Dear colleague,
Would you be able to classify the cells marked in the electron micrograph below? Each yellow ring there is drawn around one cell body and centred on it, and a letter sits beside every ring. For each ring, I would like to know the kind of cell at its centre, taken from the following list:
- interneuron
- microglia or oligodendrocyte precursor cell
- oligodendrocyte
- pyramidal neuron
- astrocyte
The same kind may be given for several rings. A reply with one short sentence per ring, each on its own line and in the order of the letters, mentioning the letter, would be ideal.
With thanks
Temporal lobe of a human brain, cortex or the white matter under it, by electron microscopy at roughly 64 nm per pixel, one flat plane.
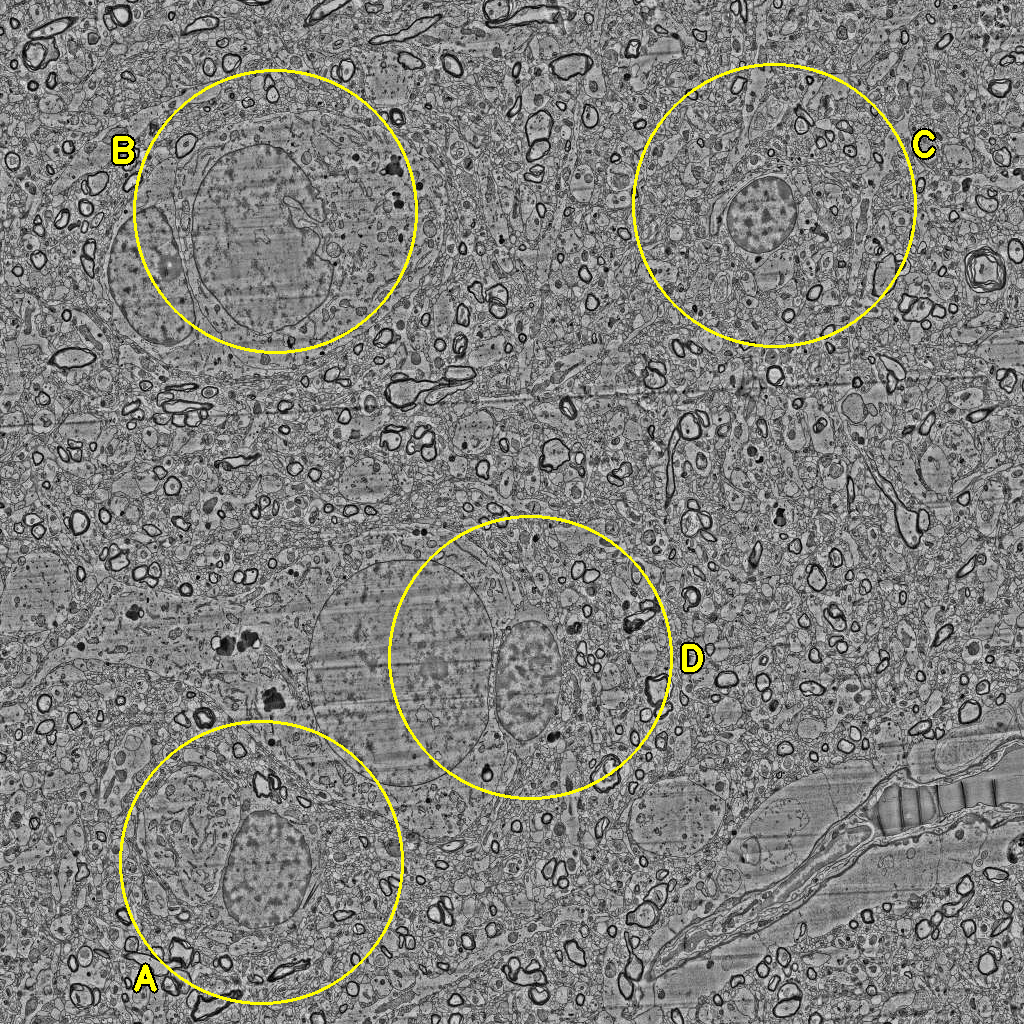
Ring A contains an oligodendrocyte at its centre.
Ring B contains a pyramidal neuron at its centre.
Ring C contains a microglial cell or oligodendrocyte precursor cell at its centre.
Ring D contains an oligodendrocyte at its centre.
